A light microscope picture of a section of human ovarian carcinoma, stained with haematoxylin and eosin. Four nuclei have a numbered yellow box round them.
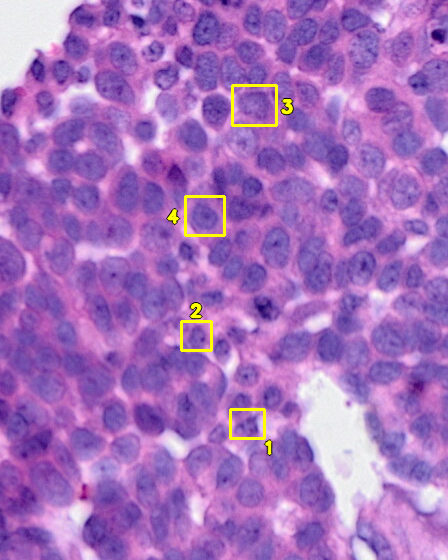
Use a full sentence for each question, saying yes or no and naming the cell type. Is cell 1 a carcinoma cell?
No; cell 1 is a macrophage or monocyte, not a carcinoma cell.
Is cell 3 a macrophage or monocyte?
No, the correct answer for cell 3 is a carcinoma cell, not a macrophage or monocyte.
